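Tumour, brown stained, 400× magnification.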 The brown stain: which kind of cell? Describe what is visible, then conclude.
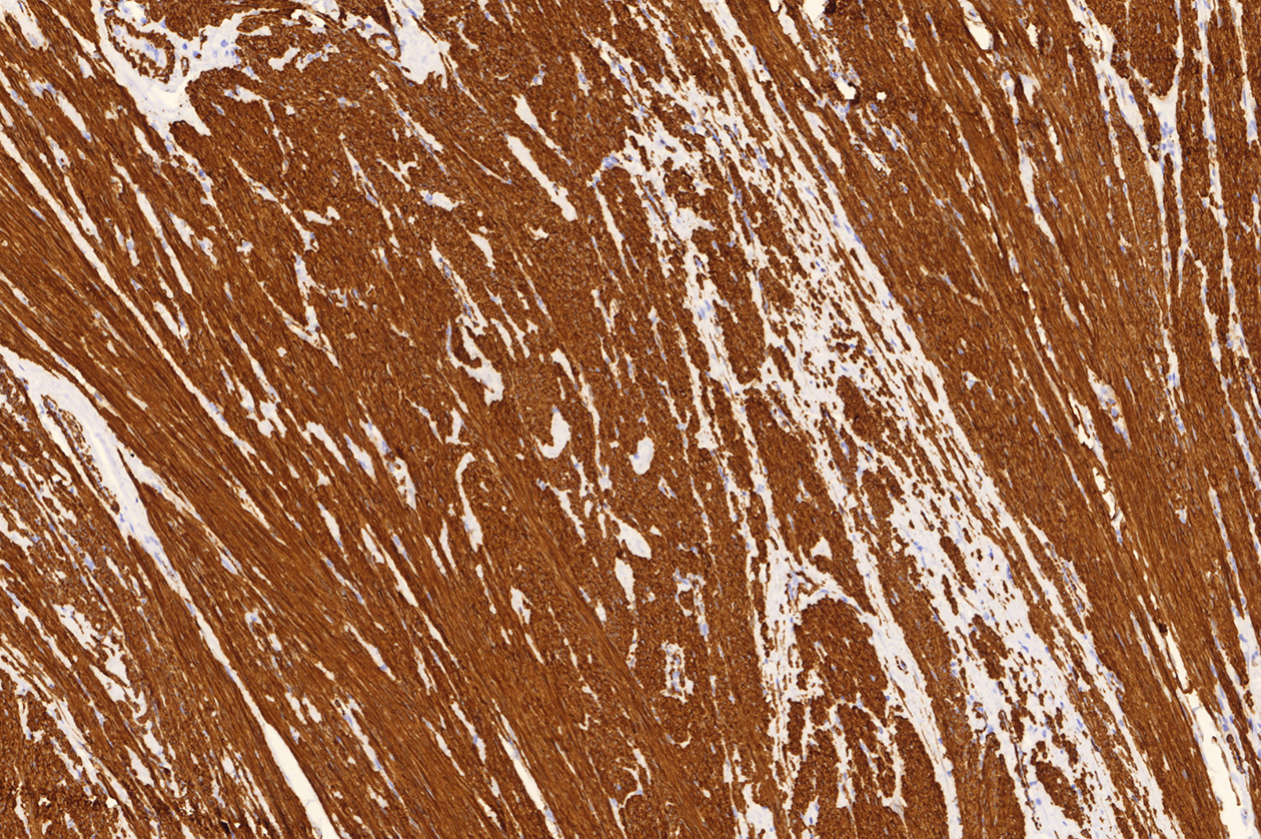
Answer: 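Elongated spindle-shaped cells lie in long, parallel fascicles. The cytoplasm of these cells is stained strongly and evenly brown. Pale stroma with scattered blue nuclei lies between the brown bundles. The answer: smooth muscle cells.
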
